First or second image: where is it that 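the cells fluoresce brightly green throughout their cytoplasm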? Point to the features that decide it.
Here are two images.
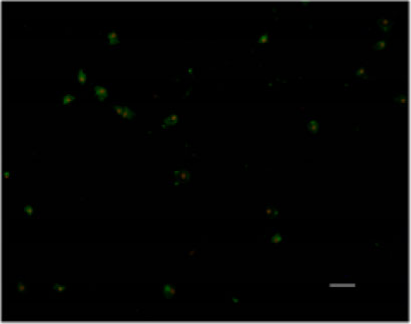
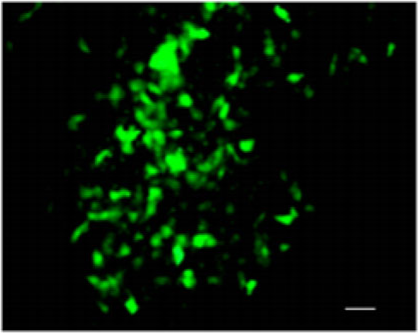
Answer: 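The second image. Second image: many cells fill much of the field with intense, bright green fluorescence. First image: only small, faint, sparse dots of dim green-orange fluorescence are seen on a dark background.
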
